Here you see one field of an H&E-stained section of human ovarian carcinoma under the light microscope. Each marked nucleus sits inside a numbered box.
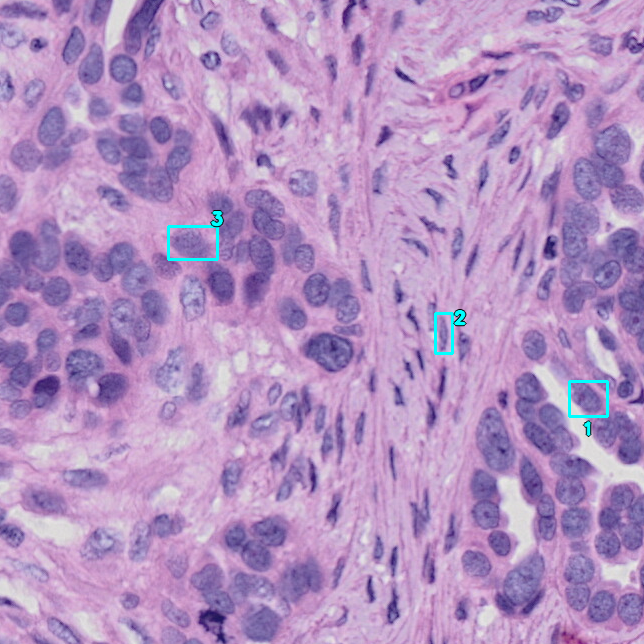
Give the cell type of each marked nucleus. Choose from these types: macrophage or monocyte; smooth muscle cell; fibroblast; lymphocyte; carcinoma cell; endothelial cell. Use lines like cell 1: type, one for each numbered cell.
cell 1: carcinoma cell
cell 2: fibroblast
cell 3: carcinoma cell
